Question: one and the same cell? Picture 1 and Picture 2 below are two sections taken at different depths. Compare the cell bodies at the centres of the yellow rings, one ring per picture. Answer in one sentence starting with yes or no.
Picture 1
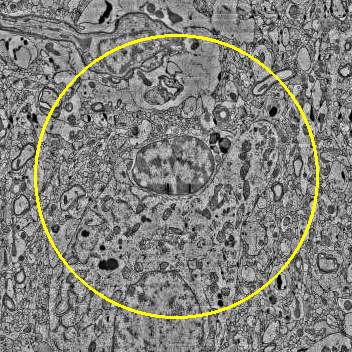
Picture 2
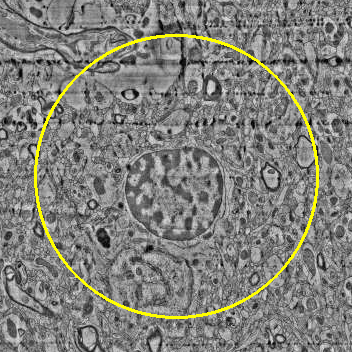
Yes, both yellow rings mark one and the same cell.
